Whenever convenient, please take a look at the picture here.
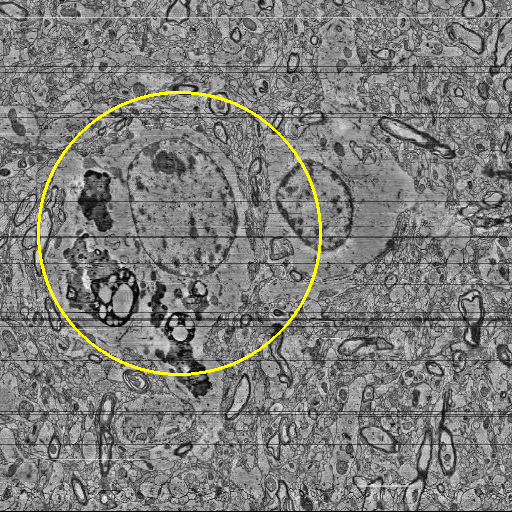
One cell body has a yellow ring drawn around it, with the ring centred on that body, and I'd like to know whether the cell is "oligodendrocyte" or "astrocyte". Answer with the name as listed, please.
astrocyte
